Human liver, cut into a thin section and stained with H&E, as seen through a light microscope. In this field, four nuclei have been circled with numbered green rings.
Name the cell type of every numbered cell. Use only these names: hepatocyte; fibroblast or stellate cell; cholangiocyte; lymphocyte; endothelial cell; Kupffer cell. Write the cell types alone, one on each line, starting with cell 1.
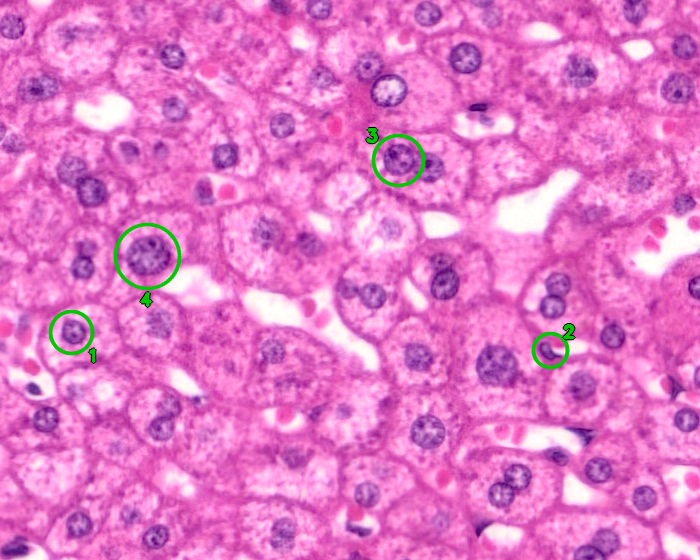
hepatocyte
endothelial cell
hepatocyte
hepatocyte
